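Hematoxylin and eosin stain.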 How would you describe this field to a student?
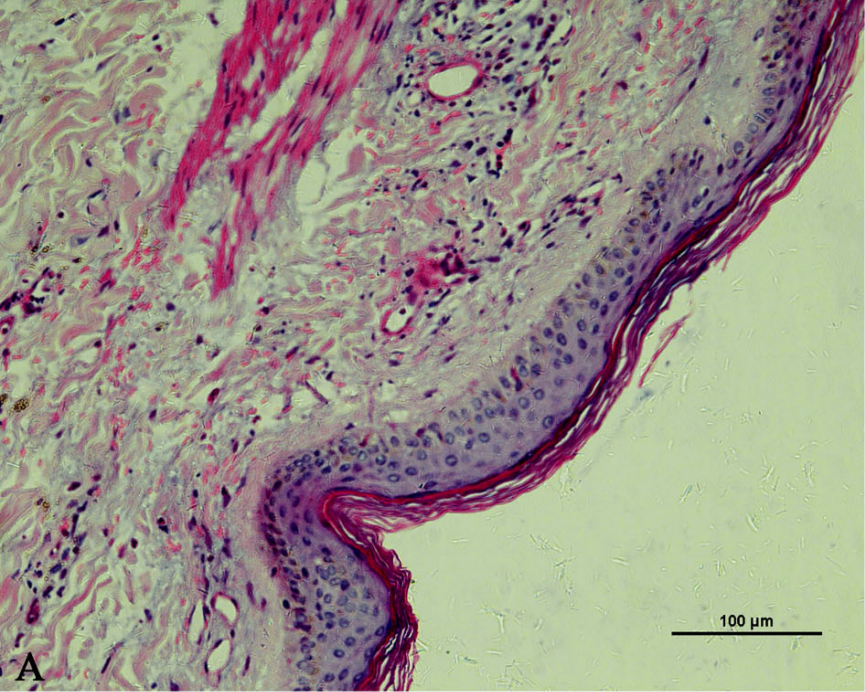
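Skin with stratified squamous epidermis and underlying dermis. The dermis below consists of loosely arranged, wavy pink collagen fibres. Small blood vessels with round open lumens lie in the dermis. Scattered and clustered small, dark, round nuclei of inflammatory cells surround these vessels. A few brown granules are present in the deeper dermis, and dense bright red fibre bundles run near the upper left edge.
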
